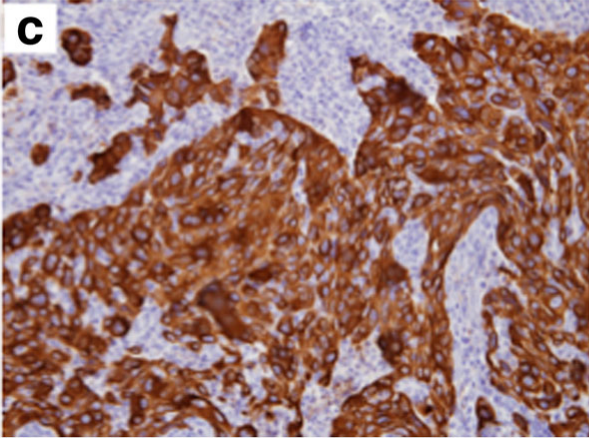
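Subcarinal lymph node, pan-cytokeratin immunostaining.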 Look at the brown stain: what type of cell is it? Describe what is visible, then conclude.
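Tumor cells. Large cells in cohesive nests and strands carry strong brown cytoplasmic stain. Surrounding small round cells with blue nuclei are unstained.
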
